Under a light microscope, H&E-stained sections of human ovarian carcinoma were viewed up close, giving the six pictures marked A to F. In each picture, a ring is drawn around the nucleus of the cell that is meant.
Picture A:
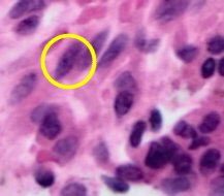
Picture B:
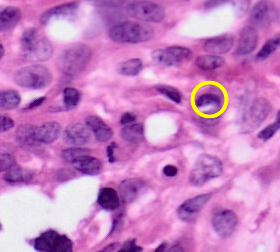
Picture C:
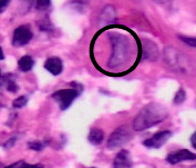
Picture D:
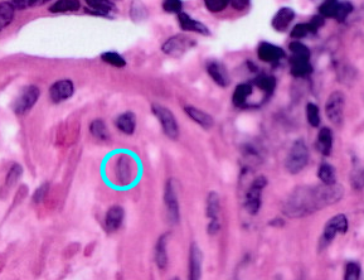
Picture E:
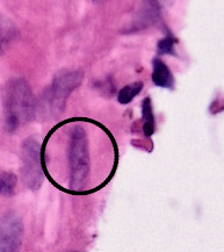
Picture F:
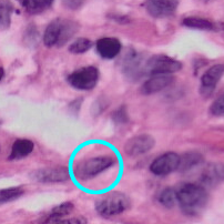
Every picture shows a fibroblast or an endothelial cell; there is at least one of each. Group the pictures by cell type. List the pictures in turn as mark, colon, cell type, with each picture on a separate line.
A: fibroblast
B: endothelial cell
C: endothelial cell
D: fibroblast
E: fibroblast
F: endothelial cell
